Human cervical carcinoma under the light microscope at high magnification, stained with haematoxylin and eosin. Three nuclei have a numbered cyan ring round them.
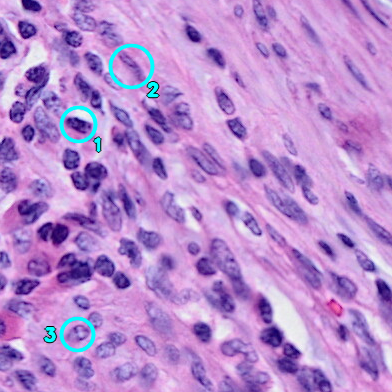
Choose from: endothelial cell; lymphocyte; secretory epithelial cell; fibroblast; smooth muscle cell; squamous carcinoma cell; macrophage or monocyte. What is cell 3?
smooth muscle cell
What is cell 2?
endothelial cell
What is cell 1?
lymphocyte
